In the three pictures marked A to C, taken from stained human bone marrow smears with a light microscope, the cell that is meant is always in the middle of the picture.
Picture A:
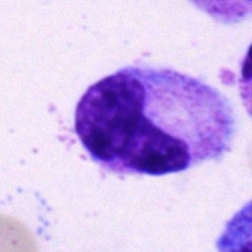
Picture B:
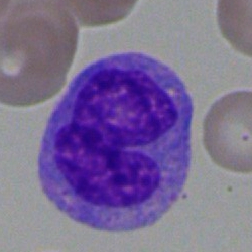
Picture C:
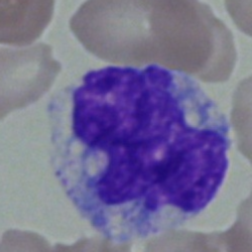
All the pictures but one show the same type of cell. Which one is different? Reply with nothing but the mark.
A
